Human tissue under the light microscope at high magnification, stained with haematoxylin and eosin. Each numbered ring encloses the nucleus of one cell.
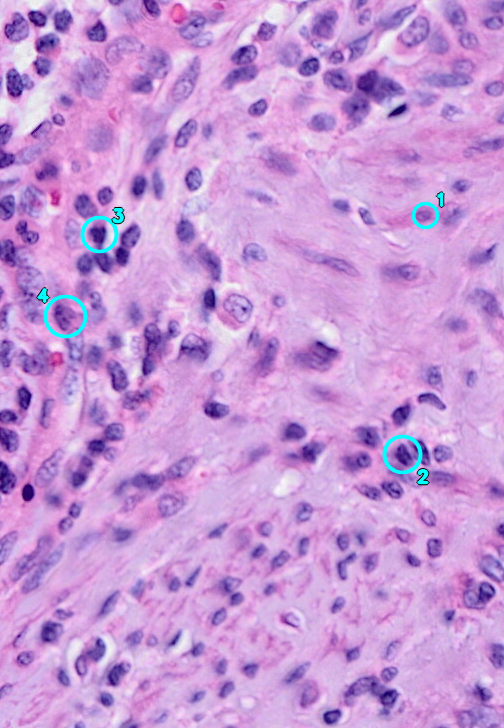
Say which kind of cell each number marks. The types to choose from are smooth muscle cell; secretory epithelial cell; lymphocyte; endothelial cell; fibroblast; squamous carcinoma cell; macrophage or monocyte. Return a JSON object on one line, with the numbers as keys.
{"1": "smooth muscle cell", "2": "lymphocyte", "3": "lymphocyte", "4": "endothelial cell"}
